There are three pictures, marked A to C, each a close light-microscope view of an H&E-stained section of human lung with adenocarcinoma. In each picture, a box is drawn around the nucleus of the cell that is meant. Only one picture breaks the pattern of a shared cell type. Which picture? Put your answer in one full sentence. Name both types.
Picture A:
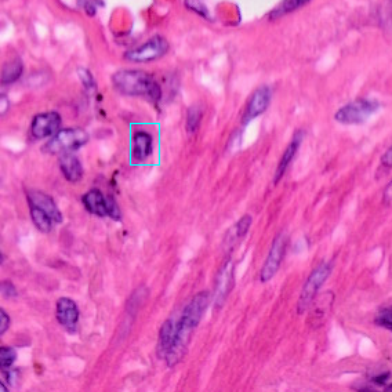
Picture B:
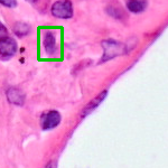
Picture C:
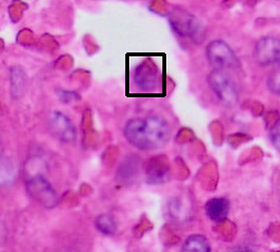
All pictures except C show plasma cells; picture C shows a “macrophage or monocyte”.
